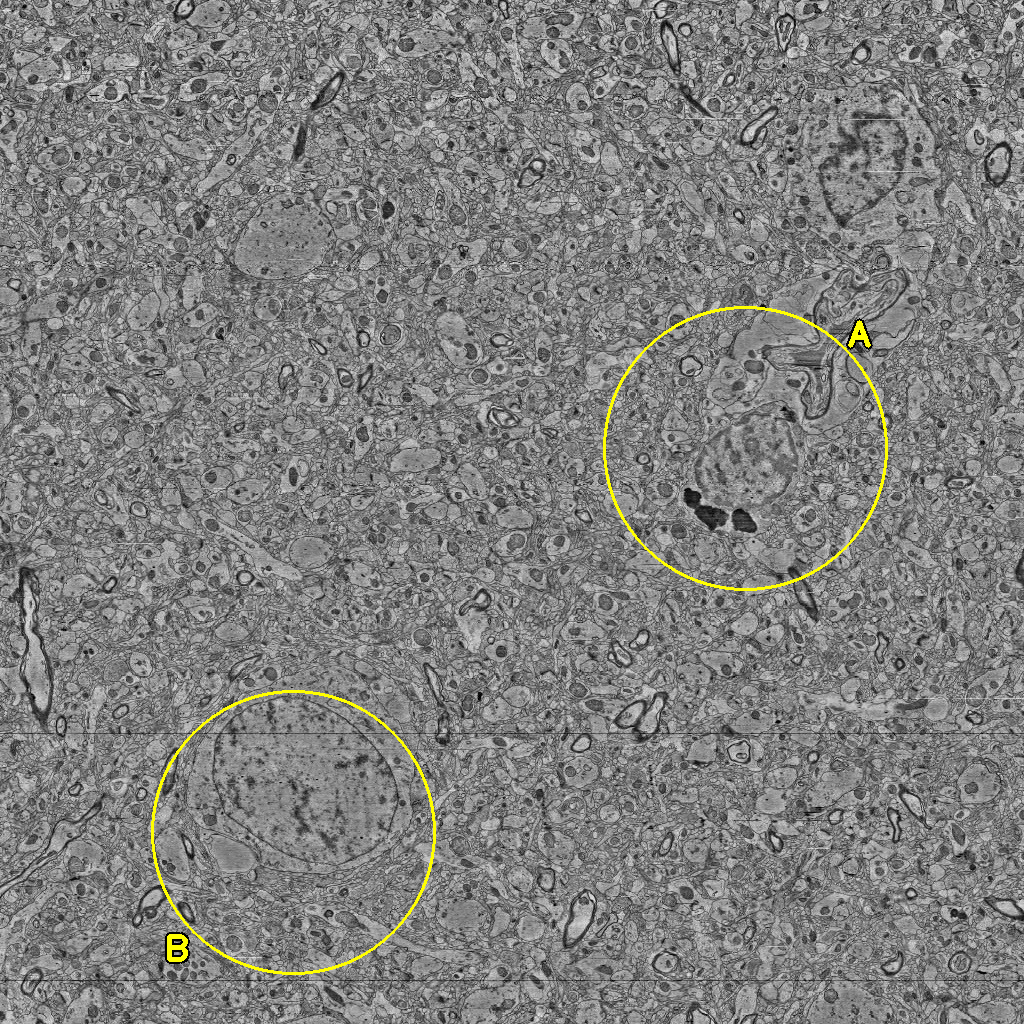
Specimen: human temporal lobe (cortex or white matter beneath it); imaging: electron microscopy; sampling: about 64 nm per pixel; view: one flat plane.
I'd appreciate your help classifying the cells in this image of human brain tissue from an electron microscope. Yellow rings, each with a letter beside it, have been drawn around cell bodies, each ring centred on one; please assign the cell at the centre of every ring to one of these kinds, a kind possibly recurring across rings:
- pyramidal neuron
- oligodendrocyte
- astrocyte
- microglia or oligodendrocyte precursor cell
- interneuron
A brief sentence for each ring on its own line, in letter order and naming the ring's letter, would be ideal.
In ring A, the central cell is an oligodendrocyte.
In ring B, the central cell is a pyramidal neuron.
